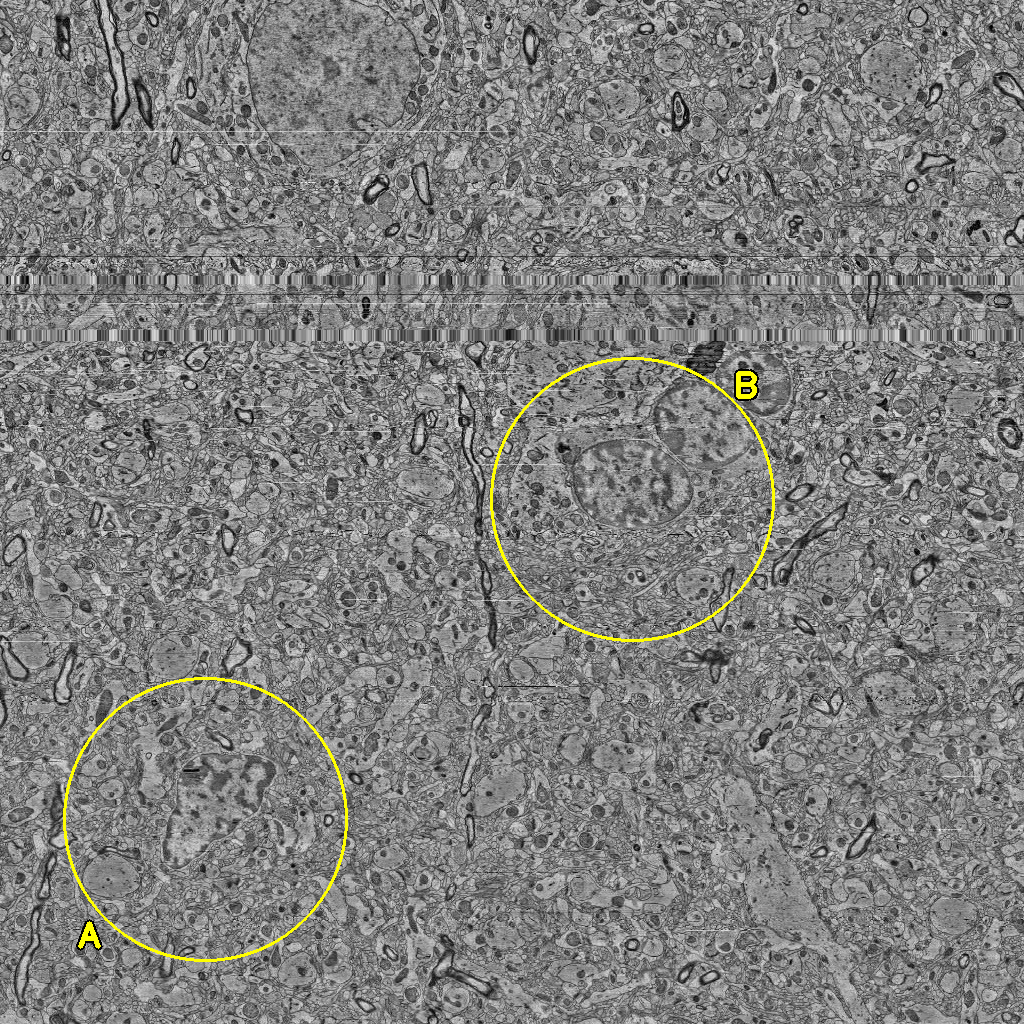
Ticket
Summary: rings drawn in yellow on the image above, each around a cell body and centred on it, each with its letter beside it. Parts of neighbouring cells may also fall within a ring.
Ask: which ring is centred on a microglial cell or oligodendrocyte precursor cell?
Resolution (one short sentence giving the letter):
The ring marked A is centred on it.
